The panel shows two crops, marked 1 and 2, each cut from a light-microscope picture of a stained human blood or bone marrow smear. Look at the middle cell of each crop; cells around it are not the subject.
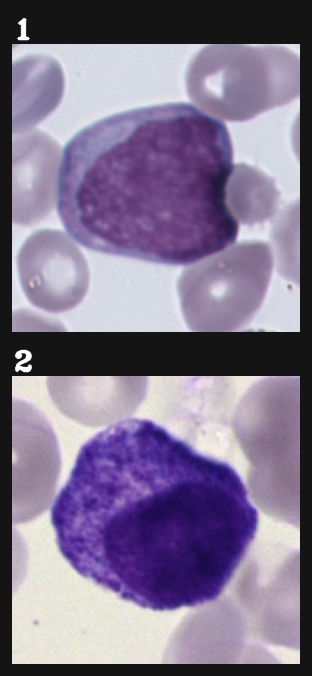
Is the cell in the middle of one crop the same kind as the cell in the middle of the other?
yes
